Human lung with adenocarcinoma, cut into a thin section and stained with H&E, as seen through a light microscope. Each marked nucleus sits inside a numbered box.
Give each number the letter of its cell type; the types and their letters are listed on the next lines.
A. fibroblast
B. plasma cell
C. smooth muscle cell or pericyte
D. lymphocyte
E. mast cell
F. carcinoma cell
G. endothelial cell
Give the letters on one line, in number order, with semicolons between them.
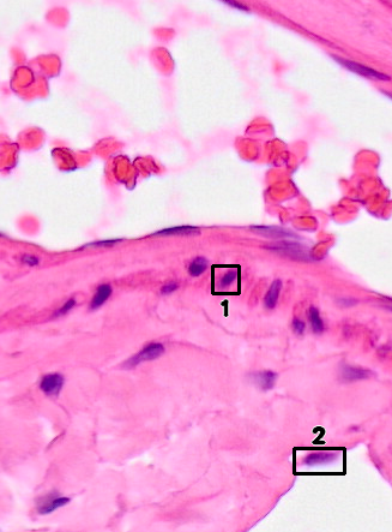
C; G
